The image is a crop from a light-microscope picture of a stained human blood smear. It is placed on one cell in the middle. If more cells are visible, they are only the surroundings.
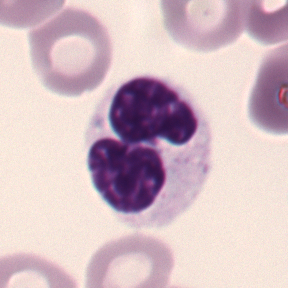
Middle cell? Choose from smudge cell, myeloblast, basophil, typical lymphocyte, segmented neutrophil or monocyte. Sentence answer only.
The cell in the middle of the field of view is a segmented neutrophil.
